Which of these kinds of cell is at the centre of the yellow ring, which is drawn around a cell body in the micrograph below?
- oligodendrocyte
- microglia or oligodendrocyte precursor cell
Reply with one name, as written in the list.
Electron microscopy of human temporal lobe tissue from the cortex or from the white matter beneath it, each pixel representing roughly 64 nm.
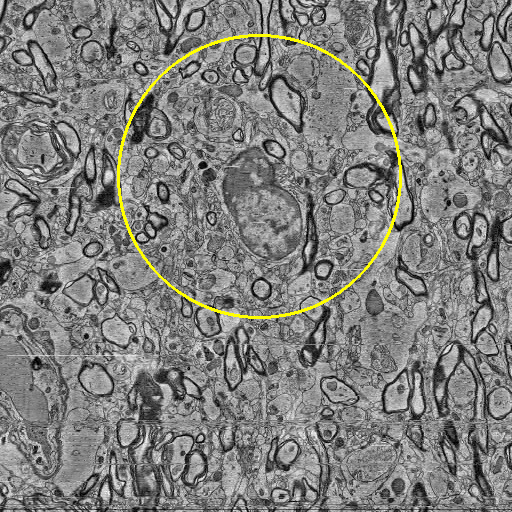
microglia or oligodendrocyte precursor cell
